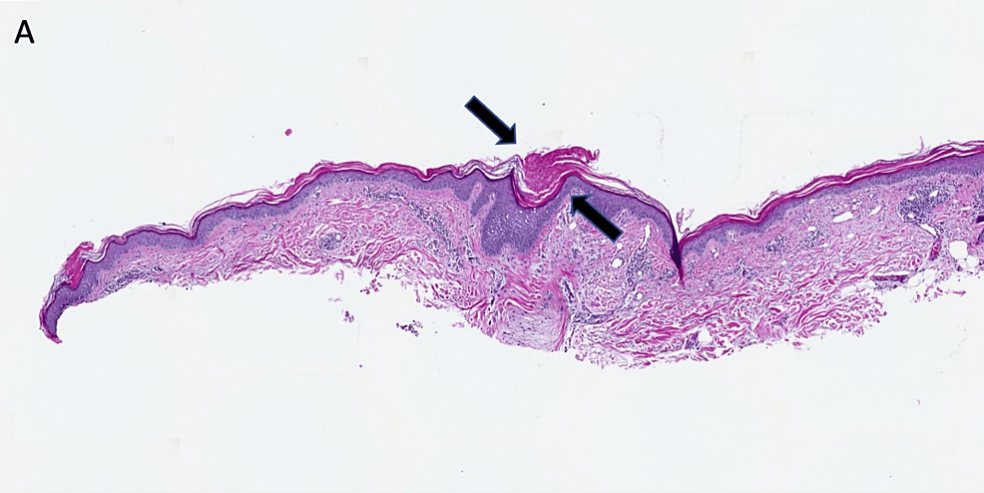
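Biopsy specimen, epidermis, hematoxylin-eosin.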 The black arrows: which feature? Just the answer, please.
Cornoid lamellae.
